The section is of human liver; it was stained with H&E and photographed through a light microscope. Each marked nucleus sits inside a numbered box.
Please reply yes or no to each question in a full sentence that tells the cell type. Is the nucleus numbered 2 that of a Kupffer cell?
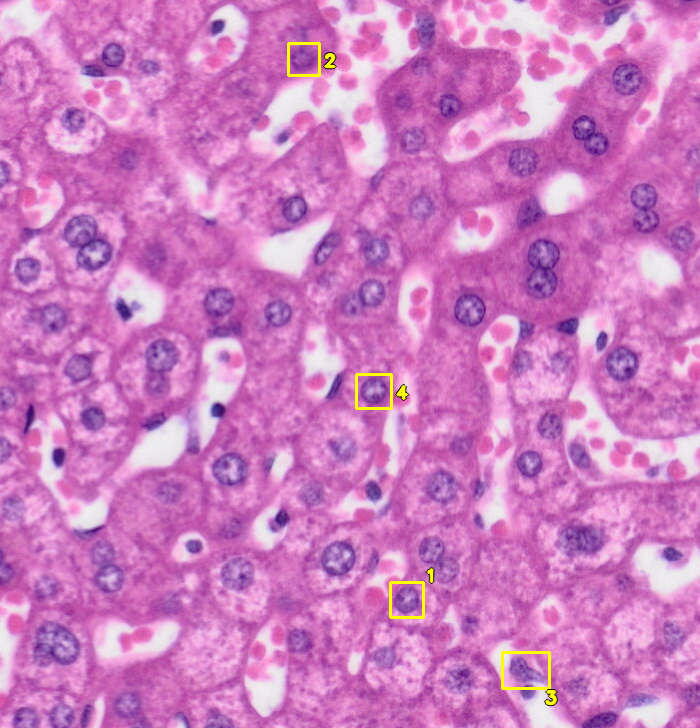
No, the nucleus numbered 2 belongs to a hepatocyte, not a Kupffer cell.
